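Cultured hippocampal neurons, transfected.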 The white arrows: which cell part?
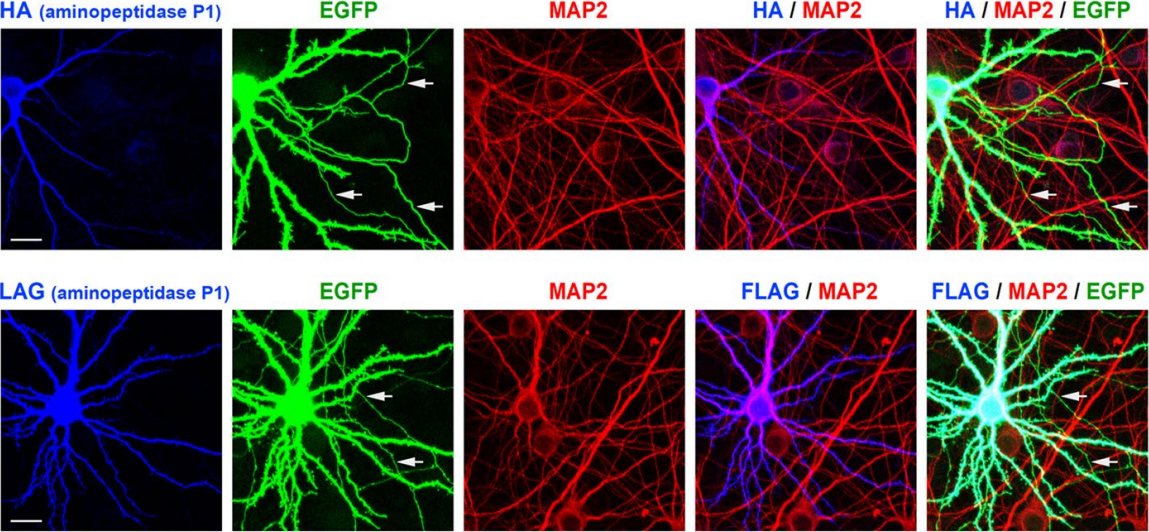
Axons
